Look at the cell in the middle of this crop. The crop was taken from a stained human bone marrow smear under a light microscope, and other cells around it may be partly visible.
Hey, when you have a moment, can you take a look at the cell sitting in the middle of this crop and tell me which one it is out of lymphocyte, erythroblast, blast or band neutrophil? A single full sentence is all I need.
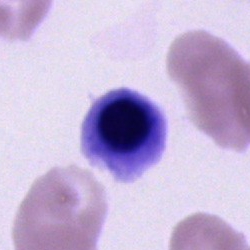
The cell in the middle of the field of view is an erythroblast.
